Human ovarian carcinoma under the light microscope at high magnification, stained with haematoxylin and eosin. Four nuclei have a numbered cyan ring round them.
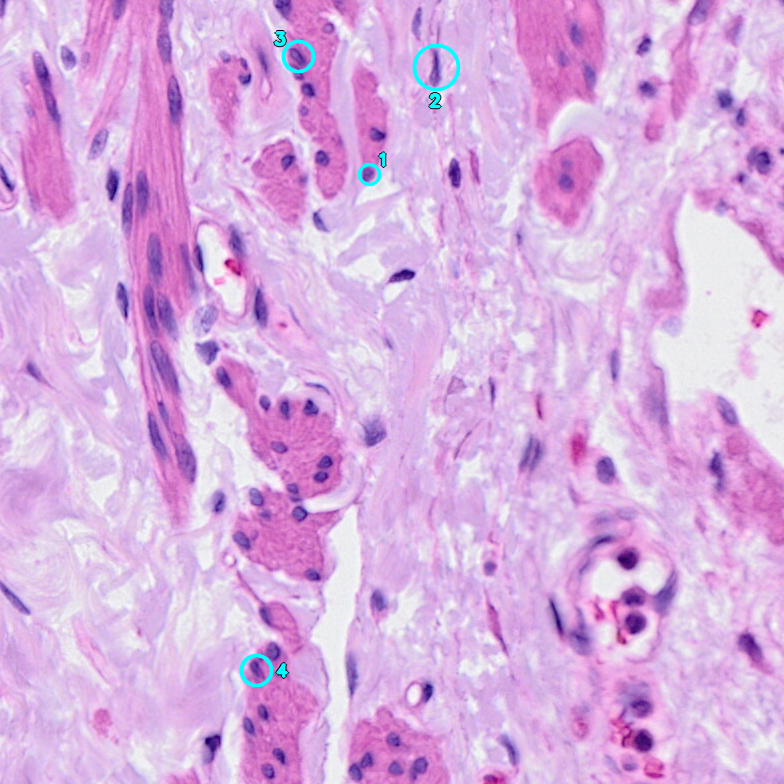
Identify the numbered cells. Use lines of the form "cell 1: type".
cell 1: smooth muscle cell
cell 2: fibroblast
cell 3: smooth muscle cell
cell 4: smooth muscle cell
